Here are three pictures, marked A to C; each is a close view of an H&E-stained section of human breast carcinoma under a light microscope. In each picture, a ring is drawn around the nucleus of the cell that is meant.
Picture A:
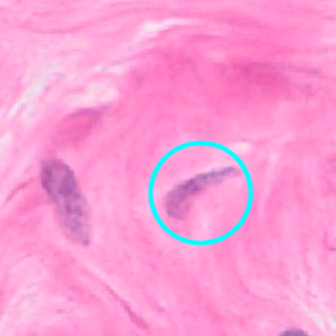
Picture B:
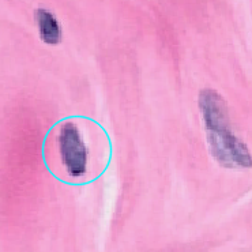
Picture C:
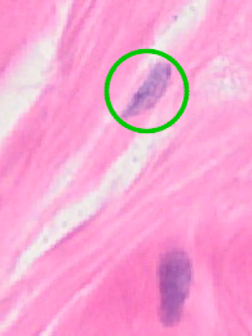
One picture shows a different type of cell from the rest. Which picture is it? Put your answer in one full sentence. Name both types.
The different one is picture B; it shows a lymphocyte, whereas all the others show fibroblasts.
